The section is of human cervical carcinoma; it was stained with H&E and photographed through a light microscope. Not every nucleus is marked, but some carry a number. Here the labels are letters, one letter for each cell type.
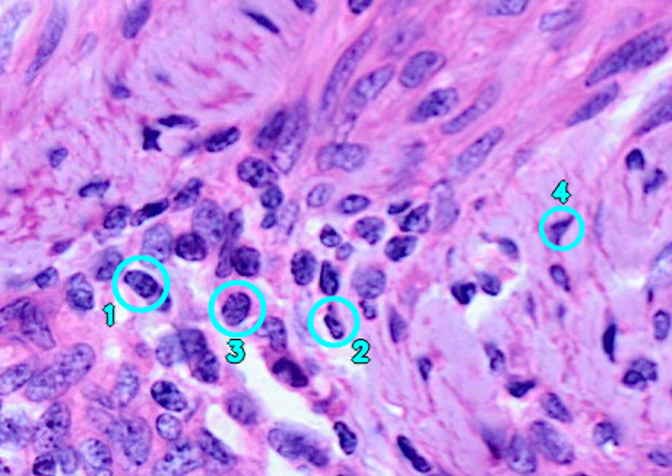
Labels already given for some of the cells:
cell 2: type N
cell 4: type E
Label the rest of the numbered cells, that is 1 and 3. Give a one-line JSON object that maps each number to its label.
{"1": "type N", "3": "type N"}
